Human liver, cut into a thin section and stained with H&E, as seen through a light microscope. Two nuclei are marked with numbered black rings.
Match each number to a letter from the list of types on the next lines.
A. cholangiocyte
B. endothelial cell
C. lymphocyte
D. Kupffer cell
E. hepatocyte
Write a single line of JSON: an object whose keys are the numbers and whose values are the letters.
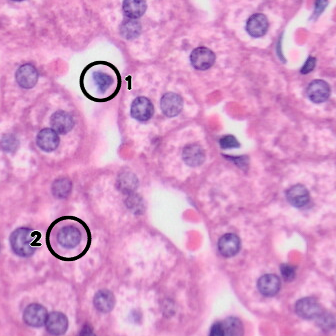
{"1": "C", "2": "E"}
